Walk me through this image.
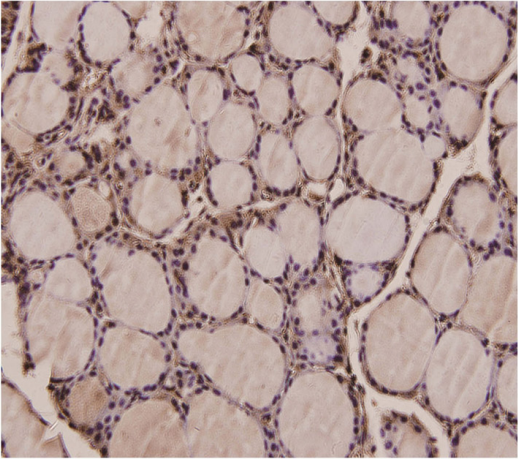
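This section of thyroid gland shows closely packed round follicles of varying size, each filled with pale pinkish-brown homogeneous colloid. Thin strands of connective tissue cross the field between groups of follicles.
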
